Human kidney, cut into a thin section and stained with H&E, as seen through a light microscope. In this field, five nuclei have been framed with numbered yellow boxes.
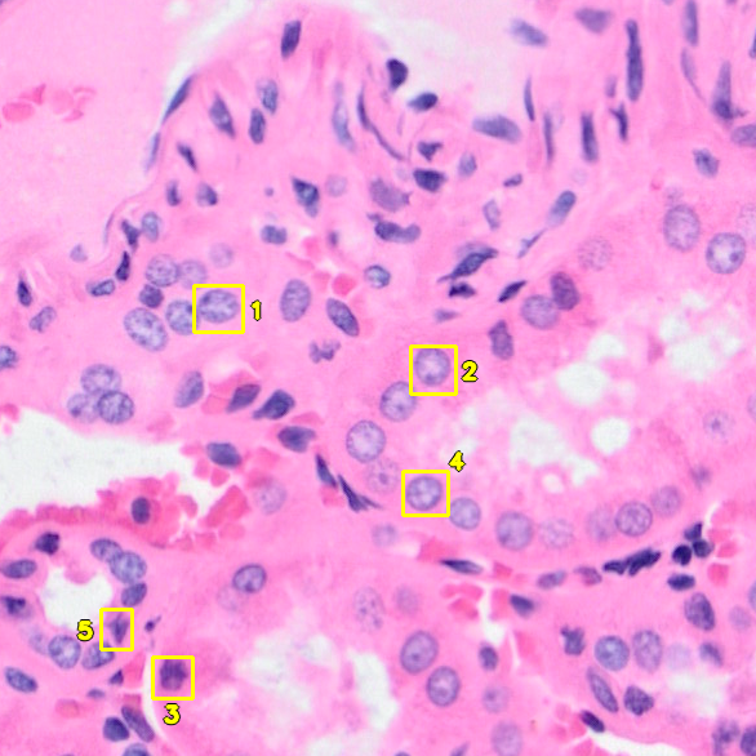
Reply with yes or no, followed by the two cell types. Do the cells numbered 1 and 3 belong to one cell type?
No, cell 1 is a collecting duct cell and cell 3 is a proximal tubule cell.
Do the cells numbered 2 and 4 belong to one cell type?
Yes, both are proximal tubule cells.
